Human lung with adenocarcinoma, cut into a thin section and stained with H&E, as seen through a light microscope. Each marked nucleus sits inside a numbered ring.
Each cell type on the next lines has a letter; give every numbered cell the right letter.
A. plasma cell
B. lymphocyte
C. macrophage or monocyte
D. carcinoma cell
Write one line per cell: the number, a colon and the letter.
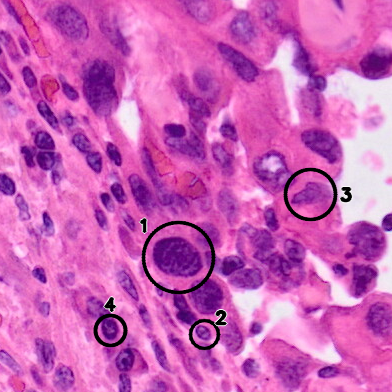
1: D
2: B
3: D
4: A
